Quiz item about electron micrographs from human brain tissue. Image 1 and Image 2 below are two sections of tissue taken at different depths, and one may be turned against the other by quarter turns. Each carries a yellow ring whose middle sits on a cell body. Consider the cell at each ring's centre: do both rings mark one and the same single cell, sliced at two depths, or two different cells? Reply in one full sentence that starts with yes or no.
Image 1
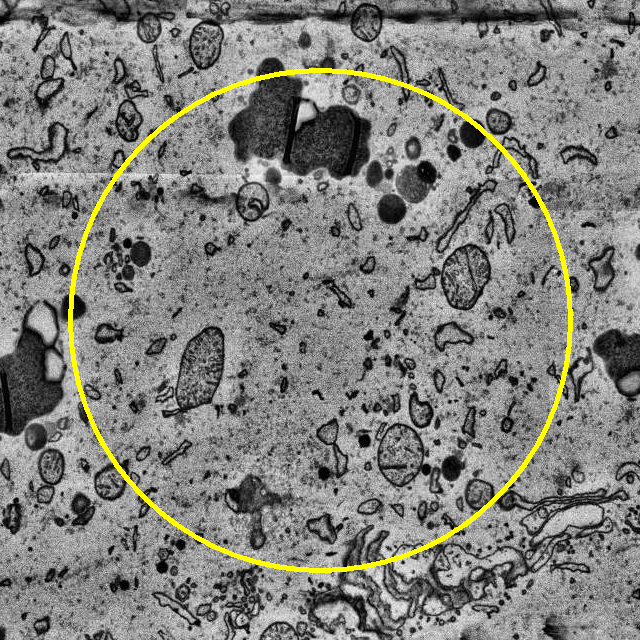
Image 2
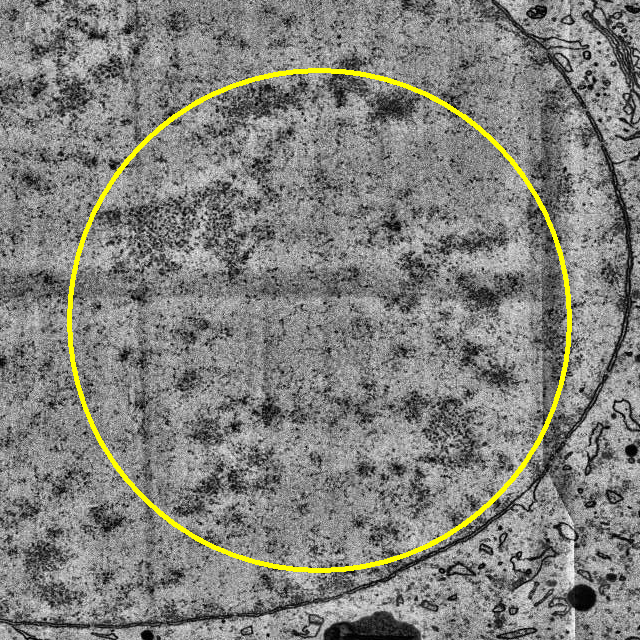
Yes, the two marked outlines come from one and the same cell.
